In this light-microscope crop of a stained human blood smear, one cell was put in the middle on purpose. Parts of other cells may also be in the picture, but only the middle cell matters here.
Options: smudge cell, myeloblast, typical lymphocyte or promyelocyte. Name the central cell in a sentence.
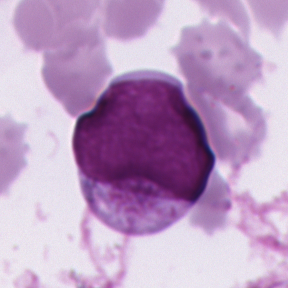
In the central position of this crop, the cell is a myeloblast.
